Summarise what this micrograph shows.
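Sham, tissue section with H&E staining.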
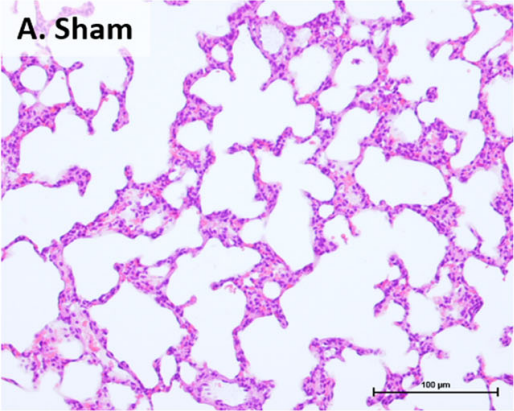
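This is lung parenchyma with a normal alveolar architecture: large, open, white air spaces are separated by thin pink alveolar walls. The walls are one or a few cells thick, with scattered dark purple nuclei along them. The air spaces are mostly empty and of varied shape, giving the tissue a lacy, open appearance.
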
